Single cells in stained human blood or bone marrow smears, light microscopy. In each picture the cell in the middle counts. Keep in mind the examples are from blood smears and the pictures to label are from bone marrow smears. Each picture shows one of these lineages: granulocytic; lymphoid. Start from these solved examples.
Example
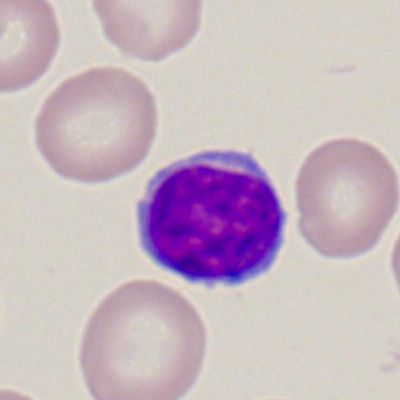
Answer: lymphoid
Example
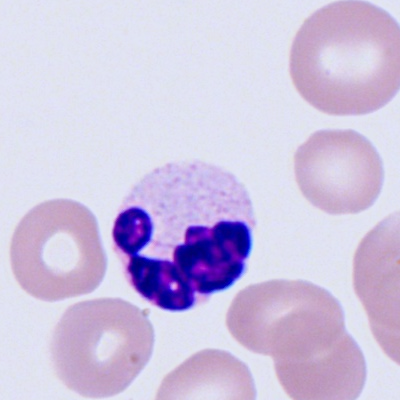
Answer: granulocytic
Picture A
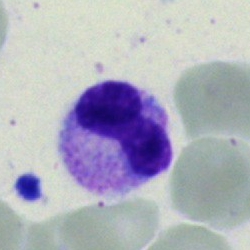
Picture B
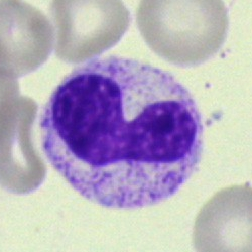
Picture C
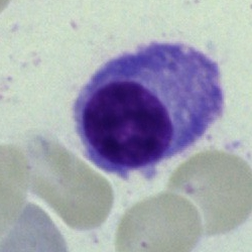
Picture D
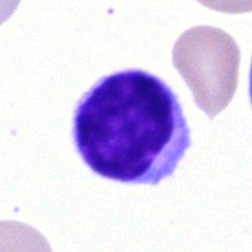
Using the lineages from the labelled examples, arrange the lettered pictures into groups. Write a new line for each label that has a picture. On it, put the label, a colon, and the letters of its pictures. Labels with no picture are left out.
granulocytic: A, B
lymphoid: C, D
